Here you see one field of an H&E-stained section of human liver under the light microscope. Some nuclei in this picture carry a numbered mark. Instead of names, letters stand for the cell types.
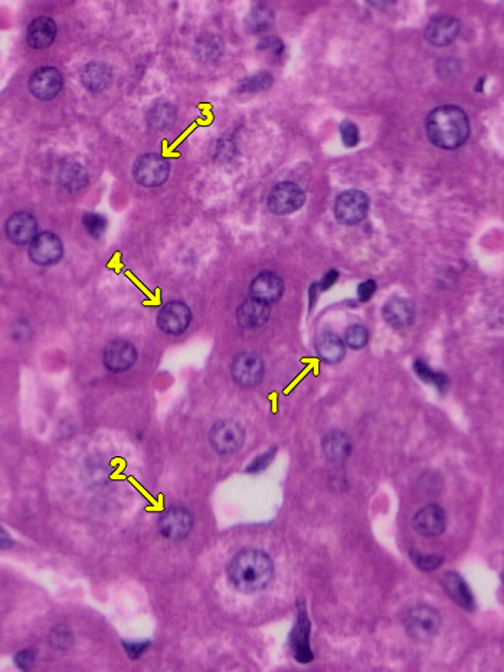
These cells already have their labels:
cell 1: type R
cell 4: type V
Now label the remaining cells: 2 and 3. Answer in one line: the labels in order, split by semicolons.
type V; type V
